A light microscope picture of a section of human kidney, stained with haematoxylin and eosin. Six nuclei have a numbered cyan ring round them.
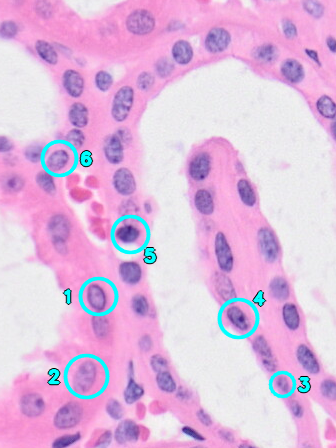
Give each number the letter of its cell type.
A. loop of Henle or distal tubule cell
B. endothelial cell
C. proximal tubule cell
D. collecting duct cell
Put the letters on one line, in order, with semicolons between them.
C; C; D; D; D; D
